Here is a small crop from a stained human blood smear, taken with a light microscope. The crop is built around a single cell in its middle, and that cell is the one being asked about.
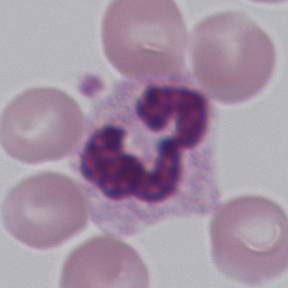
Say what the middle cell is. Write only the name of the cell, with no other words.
segmented neutrophil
